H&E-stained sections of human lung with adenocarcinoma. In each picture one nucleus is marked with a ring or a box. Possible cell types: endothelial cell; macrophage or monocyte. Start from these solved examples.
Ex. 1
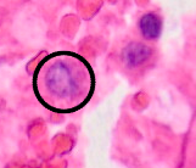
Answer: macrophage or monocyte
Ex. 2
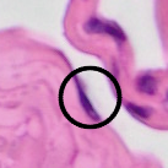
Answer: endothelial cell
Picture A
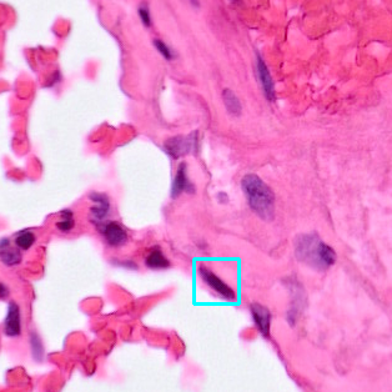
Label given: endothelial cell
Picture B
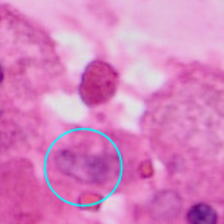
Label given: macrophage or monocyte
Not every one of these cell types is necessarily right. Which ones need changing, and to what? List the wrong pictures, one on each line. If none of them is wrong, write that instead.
None of the labels needs changing.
